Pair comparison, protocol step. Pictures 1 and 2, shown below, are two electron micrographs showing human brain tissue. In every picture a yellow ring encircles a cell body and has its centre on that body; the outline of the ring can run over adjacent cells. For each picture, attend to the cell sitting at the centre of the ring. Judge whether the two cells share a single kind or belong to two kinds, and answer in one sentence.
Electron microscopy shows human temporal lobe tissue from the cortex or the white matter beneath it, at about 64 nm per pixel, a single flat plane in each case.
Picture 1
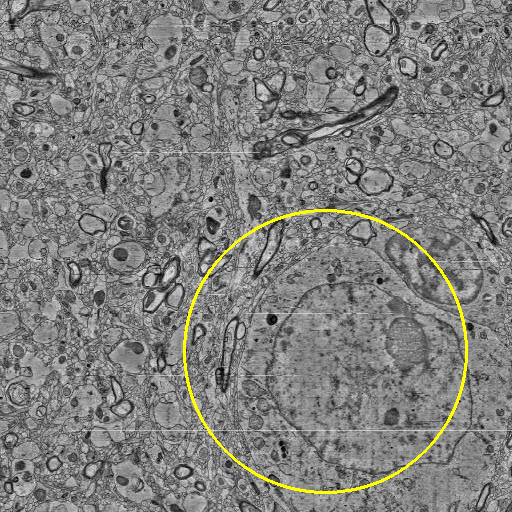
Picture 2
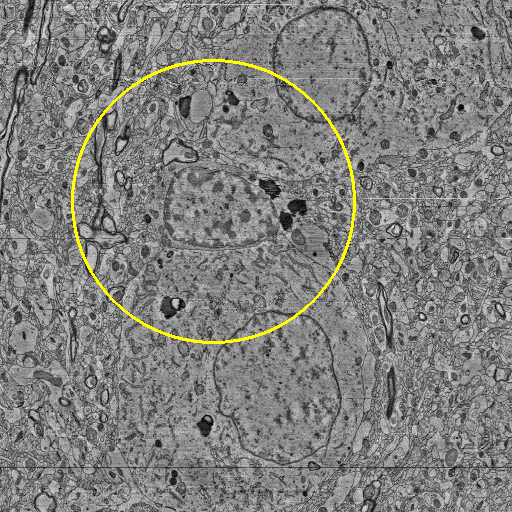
The two cells at the ring centres in Picture 1 and Picture 2 belong to two kinds.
